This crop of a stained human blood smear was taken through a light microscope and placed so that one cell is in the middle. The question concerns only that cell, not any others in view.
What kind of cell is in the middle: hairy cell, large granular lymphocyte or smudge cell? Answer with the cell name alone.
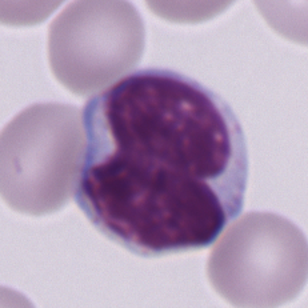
large granular lymphocyte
